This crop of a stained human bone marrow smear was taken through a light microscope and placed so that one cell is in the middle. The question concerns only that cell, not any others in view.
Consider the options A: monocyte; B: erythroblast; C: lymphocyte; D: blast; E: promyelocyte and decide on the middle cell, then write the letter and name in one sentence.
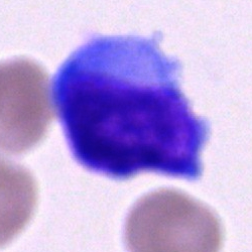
That middle cell is a blast, and option D is therefore correct.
